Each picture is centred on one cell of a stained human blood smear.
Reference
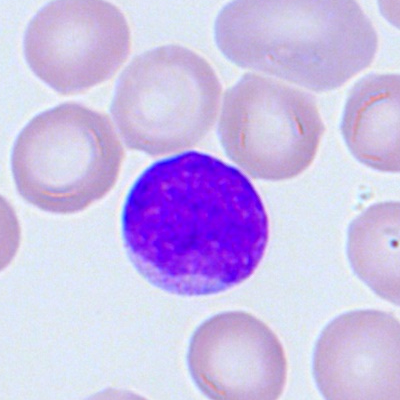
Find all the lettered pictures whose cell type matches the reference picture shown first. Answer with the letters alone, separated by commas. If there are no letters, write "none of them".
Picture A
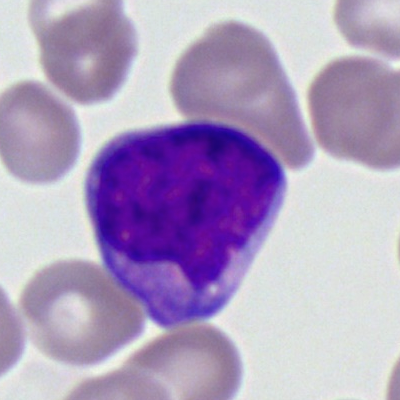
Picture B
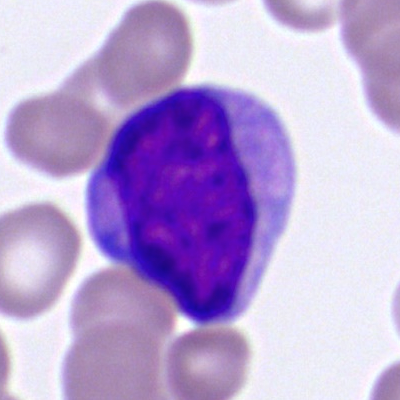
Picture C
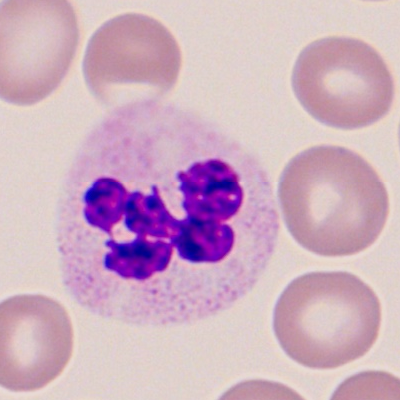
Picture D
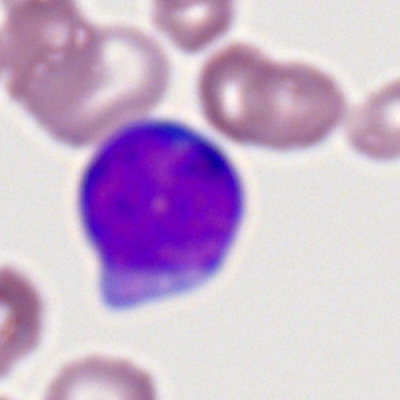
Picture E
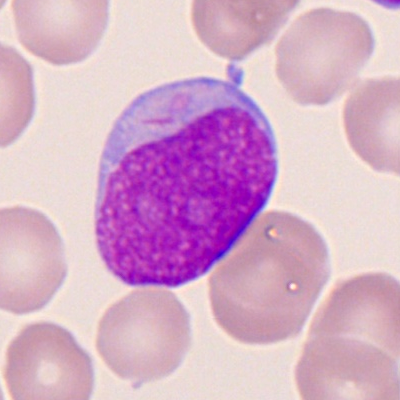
A, B, D, E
